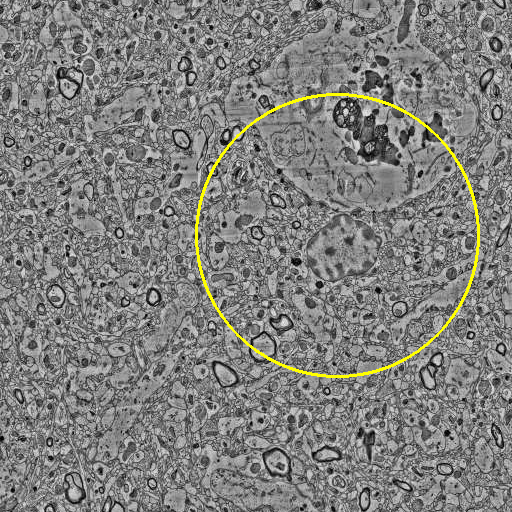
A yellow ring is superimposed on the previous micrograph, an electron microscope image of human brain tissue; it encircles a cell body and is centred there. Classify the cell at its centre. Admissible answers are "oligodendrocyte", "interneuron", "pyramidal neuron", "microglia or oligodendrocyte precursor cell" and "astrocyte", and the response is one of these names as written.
microglia or oligodendrocyte precursor cell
